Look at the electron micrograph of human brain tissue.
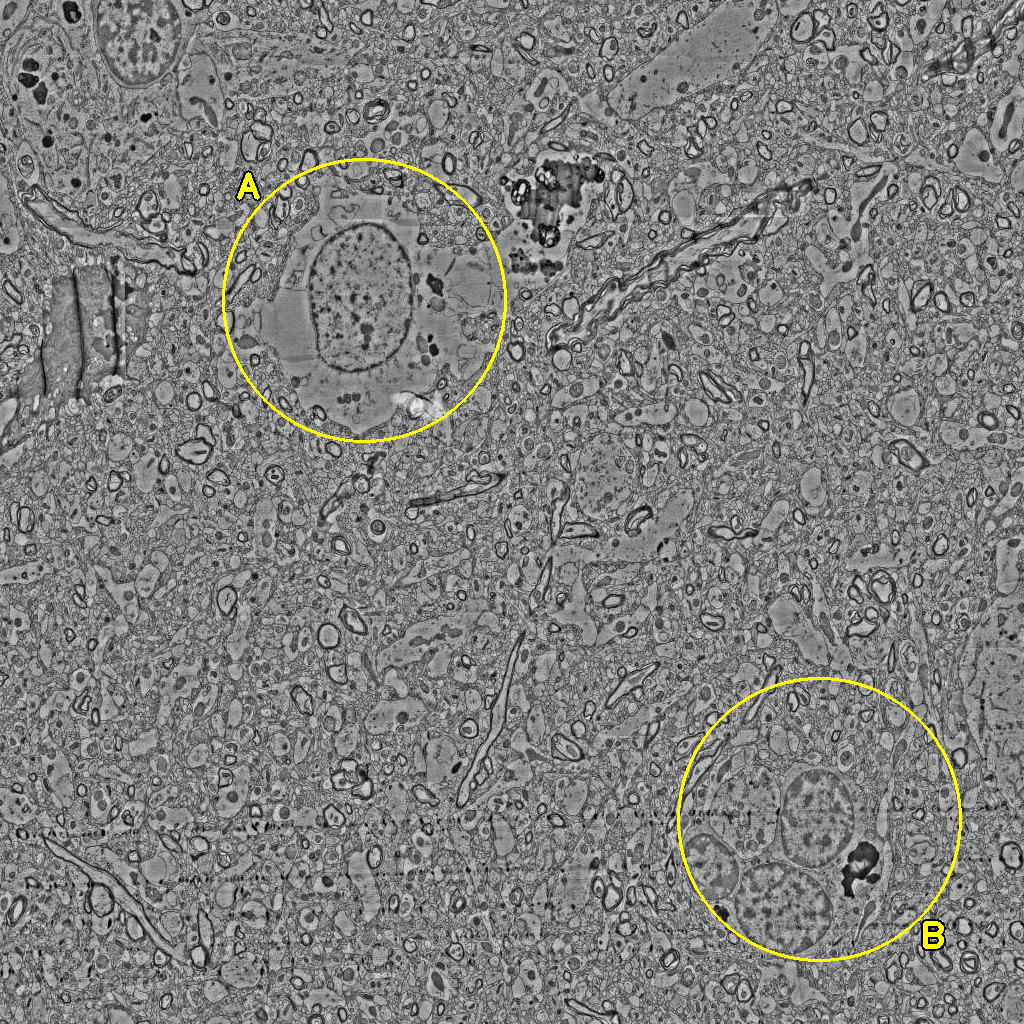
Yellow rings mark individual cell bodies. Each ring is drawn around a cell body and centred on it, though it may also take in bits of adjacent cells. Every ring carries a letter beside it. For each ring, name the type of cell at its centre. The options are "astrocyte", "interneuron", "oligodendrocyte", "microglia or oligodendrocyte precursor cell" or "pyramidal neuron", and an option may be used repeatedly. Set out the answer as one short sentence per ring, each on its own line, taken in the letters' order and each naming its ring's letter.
Ring A is drawn around an astrocyte.
Ring B is drawn around an oligodendrocyte.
